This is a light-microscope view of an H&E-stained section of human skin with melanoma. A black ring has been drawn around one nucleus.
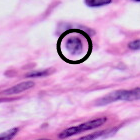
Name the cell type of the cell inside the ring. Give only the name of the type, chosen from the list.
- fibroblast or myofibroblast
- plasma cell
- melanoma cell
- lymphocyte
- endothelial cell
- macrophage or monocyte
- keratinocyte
plasma cell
